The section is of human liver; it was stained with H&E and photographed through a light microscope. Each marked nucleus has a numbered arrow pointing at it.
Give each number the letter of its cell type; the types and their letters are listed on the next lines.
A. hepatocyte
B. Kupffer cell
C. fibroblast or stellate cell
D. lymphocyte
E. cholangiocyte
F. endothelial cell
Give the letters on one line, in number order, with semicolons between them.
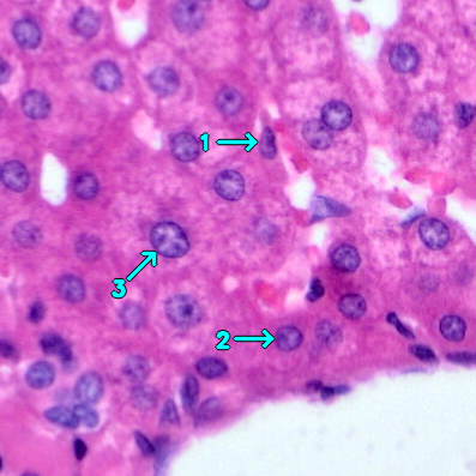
B; A; A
